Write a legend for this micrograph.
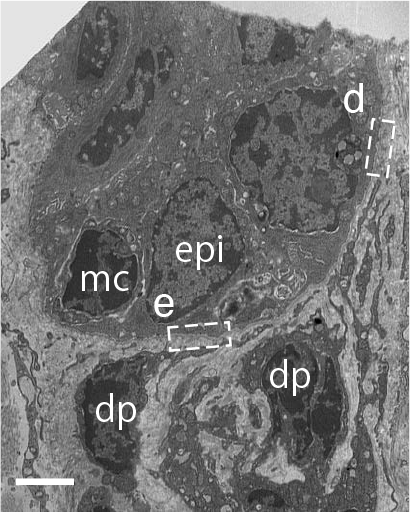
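The epithelial cells have large, rounded to oval nuclei with dispersed chromatin and fairly abundant grey cytoplasm, packed tightly against one another. A melanocyte with a darker, irregular nucleus lies among the epithelial cells near their lower edge. Below a thin boundary, the dermal papilla cells have dark, irregularly shaped nuclei and are set in paler, fibrous extracellular material. Two dashed boxes mark stretches of the boundary between epithelium and surrounding tissue, one on the side of the germ and one at its lower interface.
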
